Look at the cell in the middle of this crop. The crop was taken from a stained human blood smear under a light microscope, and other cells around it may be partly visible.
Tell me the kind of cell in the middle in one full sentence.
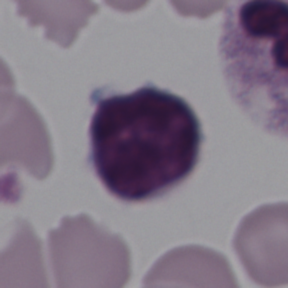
Here the cell in the middle is a typical lymphocyte.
